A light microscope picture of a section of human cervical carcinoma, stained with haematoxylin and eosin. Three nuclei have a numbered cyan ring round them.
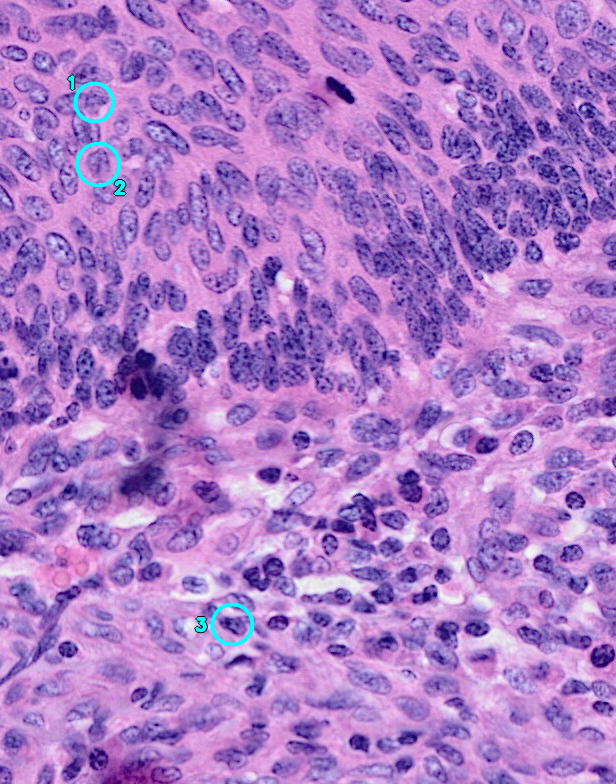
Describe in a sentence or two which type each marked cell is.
Cell 1 is a squamous carcinoma cell, cell 2 is a squamous carcinoma cell and cell 3 is a lymphocyte.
